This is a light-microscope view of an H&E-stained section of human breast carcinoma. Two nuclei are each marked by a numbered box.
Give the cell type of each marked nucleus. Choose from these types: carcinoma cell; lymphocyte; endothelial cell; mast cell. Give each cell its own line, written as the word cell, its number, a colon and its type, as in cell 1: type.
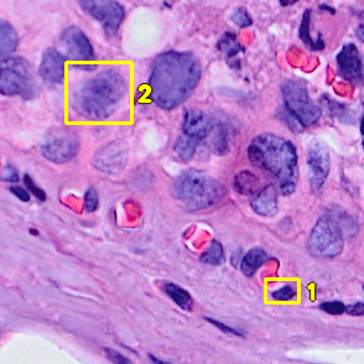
cell 1: endothelial cell
cell 2: carcinoma cell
